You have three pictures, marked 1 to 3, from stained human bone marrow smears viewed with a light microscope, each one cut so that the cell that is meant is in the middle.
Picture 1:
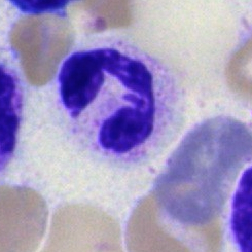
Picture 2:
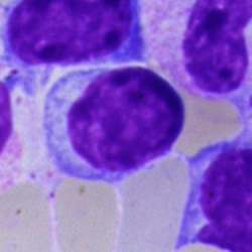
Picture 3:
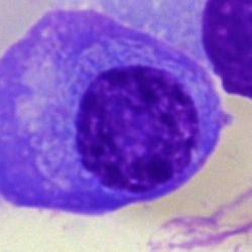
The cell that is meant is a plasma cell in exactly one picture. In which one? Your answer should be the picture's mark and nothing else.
3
